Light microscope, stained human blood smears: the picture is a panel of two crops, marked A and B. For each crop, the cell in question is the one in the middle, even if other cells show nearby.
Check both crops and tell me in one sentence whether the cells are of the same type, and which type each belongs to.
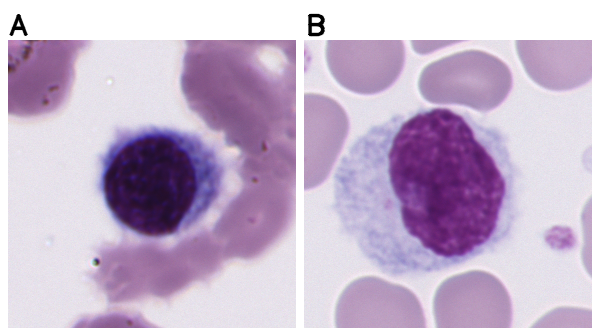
Yes, both crops in the pair show hairy cells.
